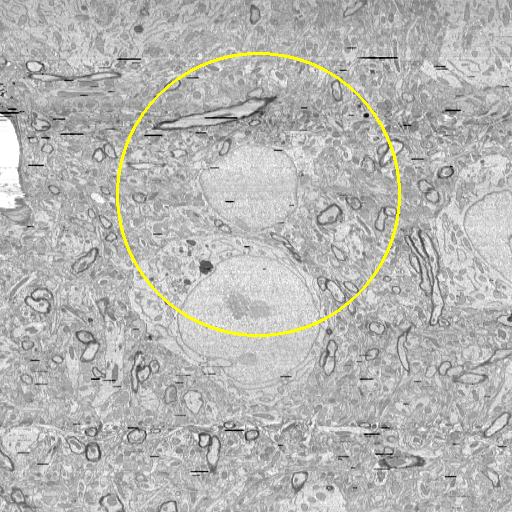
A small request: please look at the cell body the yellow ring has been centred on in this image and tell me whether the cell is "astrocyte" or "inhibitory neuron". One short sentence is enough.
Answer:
The cell marked by the ring is an astrocyte.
